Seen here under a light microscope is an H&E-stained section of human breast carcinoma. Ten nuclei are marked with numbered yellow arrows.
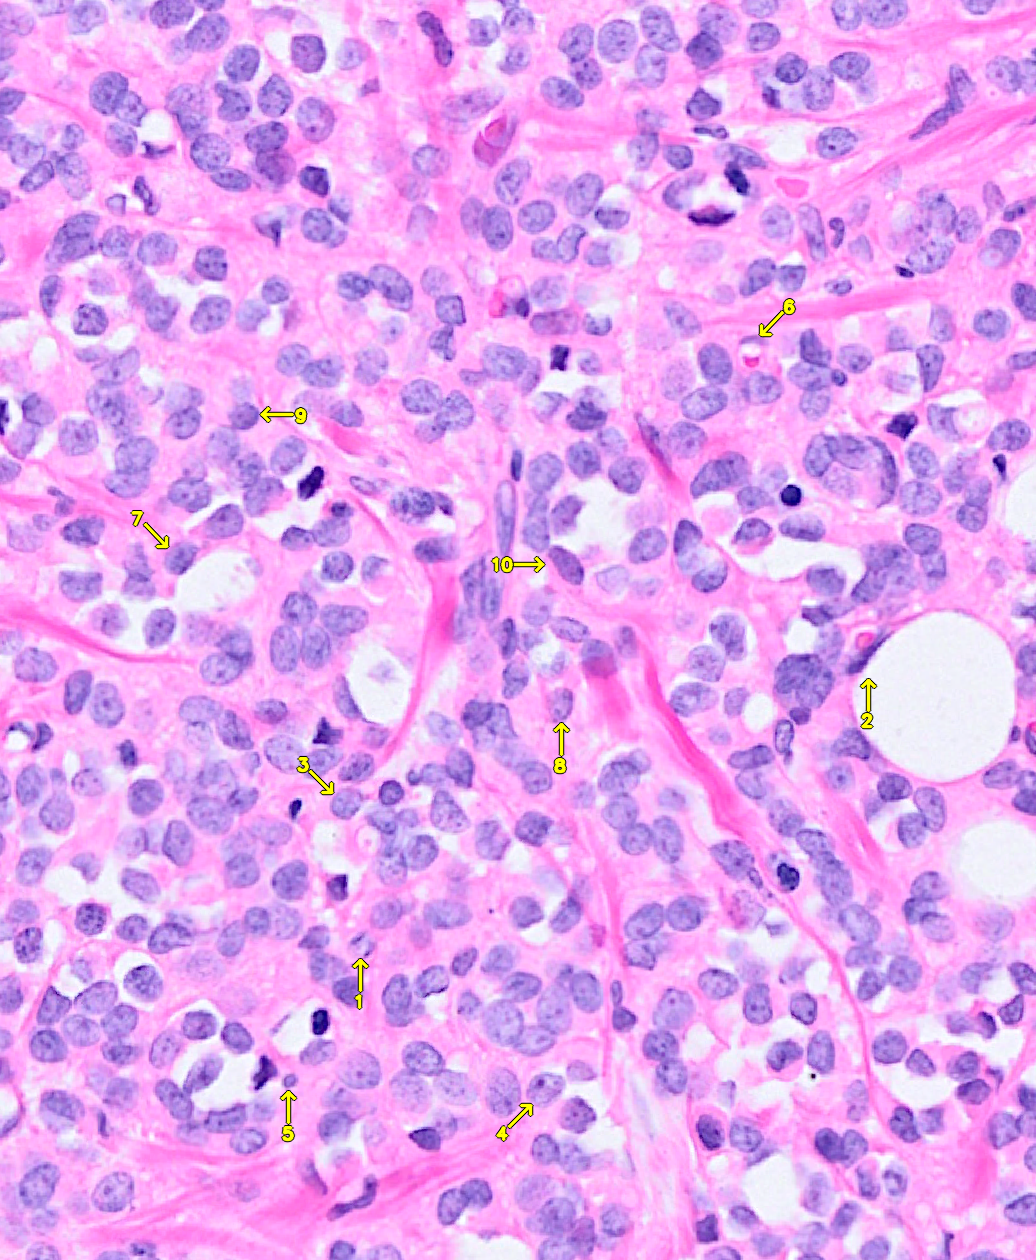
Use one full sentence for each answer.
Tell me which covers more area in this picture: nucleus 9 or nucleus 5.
Nucleus 9 is the larger one, covering about 3 times the area of nucleus 5.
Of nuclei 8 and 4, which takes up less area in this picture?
With nucleus 4 about 1.5 times its size, nucleus 8 is the smaller of the two.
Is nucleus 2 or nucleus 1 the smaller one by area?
Nucleus 1 is the smaller one; nucleus 2 covers about 1.5 times its area.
